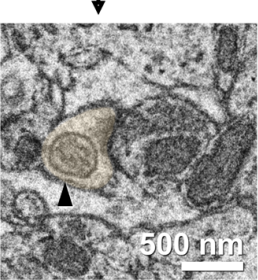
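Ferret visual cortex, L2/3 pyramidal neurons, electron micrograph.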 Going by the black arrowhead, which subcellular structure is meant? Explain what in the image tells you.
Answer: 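The arrowhead points to a round membrane-bound organelle inside the tinted profile. The organelle shows internal folded membranes.
Conclusion: mitochondria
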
